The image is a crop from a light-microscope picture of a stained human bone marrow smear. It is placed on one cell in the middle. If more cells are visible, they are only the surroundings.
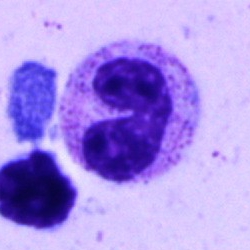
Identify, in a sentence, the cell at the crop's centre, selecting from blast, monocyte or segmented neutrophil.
The cell around which this crop is centred is a segmented neutrophil.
